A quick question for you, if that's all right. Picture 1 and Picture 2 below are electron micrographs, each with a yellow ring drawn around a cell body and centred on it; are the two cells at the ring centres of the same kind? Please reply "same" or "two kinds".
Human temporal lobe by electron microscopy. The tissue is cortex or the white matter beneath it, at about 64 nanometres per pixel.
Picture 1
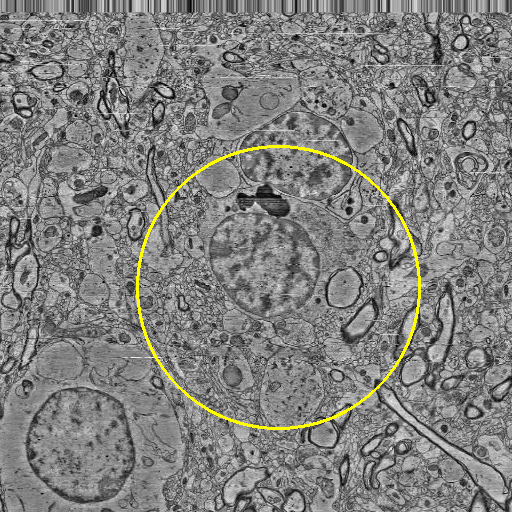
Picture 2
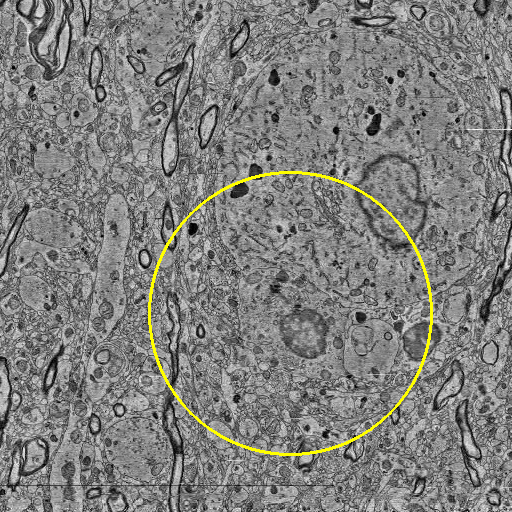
same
